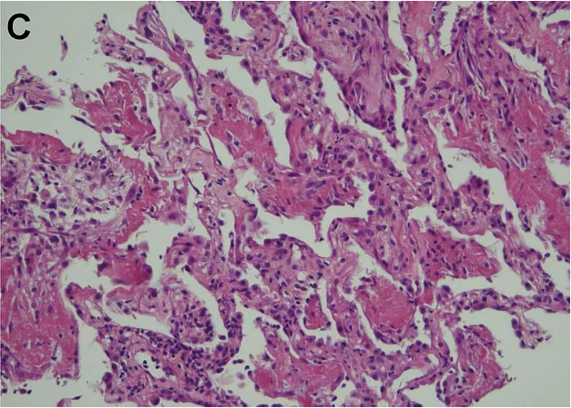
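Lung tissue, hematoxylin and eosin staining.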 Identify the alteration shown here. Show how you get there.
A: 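The alveolar septa are thickened and crowded with many dark purple nuclei. Loose clusters of small round nuclei lie among the septa. So: inflammatory cell infiltrates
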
